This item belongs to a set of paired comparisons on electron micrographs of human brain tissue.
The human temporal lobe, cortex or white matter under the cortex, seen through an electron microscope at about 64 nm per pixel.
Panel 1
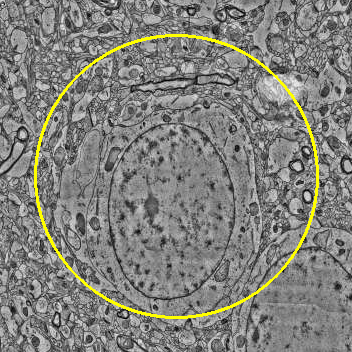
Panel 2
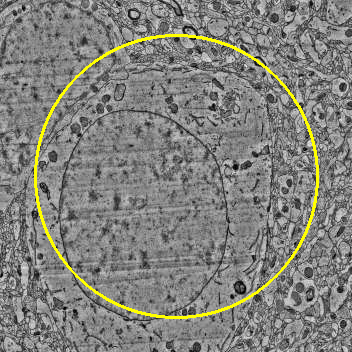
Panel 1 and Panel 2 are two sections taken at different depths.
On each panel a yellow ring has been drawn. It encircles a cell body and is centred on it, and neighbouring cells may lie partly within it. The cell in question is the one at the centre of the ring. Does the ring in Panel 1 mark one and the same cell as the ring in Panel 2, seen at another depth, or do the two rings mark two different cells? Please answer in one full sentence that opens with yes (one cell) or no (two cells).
No, within the two rings lie two different cells.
